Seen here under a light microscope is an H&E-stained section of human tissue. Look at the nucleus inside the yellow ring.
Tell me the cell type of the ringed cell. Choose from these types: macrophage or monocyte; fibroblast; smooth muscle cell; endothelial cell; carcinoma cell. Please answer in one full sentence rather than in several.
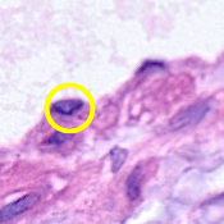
In this tissue sample, the ringed cell is an endothelial cell.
